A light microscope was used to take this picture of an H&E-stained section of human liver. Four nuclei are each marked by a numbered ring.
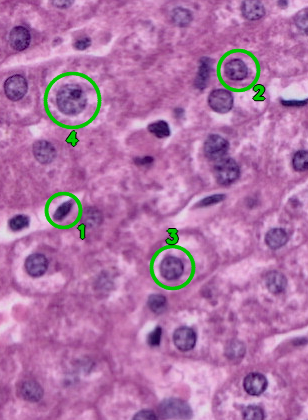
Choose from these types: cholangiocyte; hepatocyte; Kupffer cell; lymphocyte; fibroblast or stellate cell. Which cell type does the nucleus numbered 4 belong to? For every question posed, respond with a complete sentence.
The cell marked with number 4 is a hepatocyte.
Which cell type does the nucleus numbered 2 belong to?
The identity of cell 2 is that of a hepatocyte.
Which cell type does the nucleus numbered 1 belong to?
Classified as a lymphocyte is the cell with the number 1.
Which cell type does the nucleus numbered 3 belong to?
The cell pointed out as number 3 is a hepatocyte.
